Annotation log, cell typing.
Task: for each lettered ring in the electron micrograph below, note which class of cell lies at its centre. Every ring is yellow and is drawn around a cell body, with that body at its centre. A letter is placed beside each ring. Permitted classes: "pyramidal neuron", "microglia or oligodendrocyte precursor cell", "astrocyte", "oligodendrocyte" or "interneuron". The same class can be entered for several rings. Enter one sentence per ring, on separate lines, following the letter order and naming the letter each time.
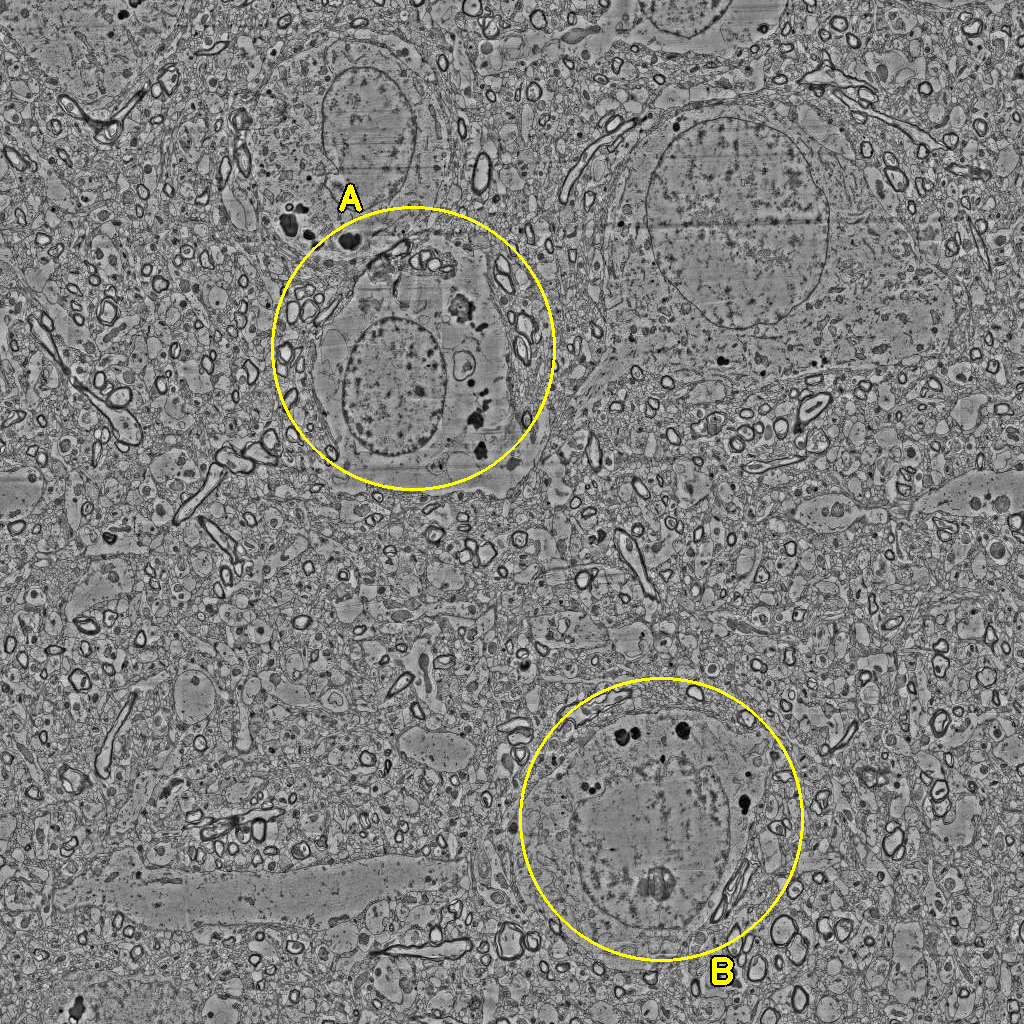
The cell at the centre of ring A is an astrocyte.
The cell at the centre of ring B is an interneuron.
